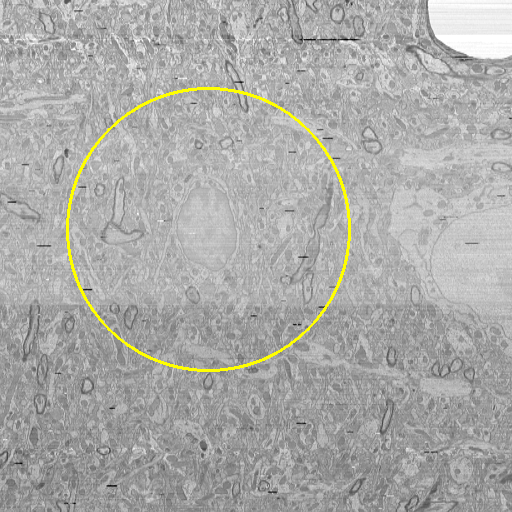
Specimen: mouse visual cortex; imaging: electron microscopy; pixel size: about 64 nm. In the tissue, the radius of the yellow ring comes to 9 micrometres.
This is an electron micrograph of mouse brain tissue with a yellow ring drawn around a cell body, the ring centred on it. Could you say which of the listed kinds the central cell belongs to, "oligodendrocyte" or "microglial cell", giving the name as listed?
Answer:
microglial cell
